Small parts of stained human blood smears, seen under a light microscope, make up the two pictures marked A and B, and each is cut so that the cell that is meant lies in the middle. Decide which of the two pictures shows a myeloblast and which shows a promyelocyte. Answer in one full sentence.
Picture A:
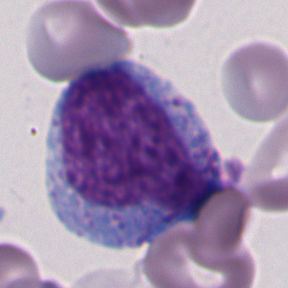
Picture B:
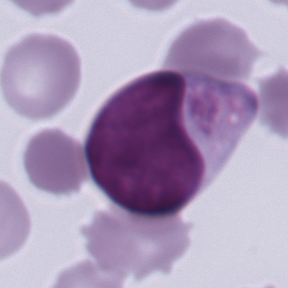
It is picture A that shows a promyelocyte, and picture B that shows a myeloblast.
